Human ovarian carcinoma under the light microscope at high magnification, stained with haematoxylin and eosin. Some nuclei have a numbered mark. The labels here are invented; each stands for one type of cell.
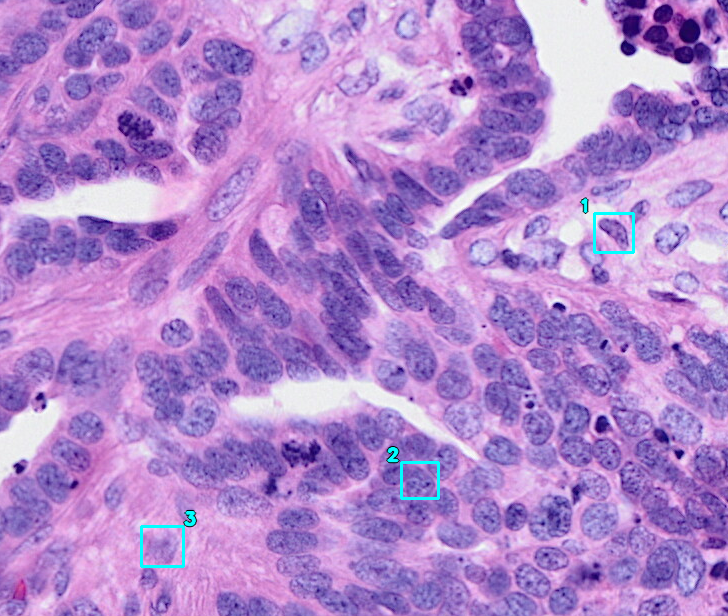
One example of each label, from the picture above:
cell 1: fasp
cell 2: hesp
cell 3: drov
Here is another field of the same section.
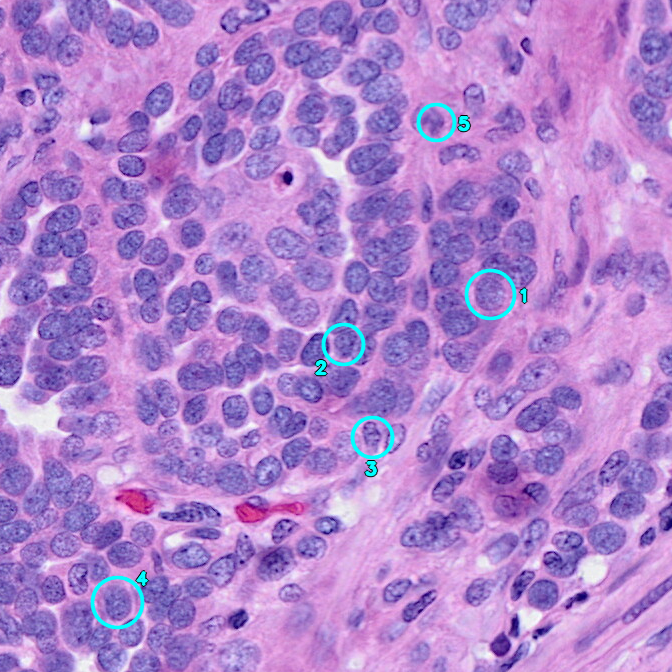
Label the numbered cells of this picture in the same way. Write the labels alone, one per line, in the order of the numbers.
hesp
hesp
fasp
hesp
drov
